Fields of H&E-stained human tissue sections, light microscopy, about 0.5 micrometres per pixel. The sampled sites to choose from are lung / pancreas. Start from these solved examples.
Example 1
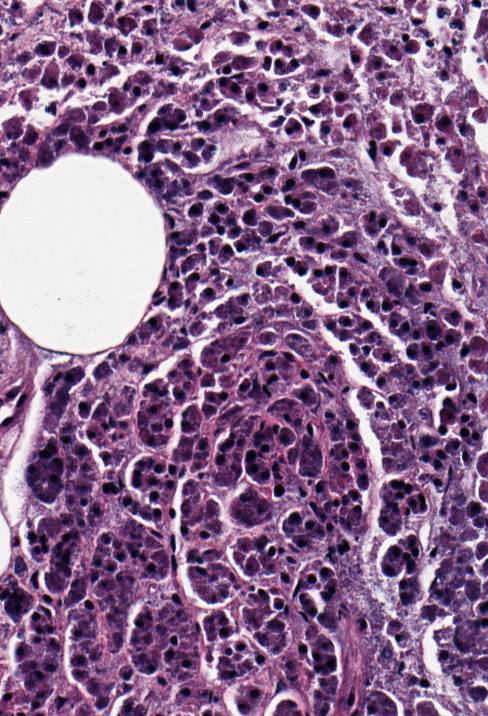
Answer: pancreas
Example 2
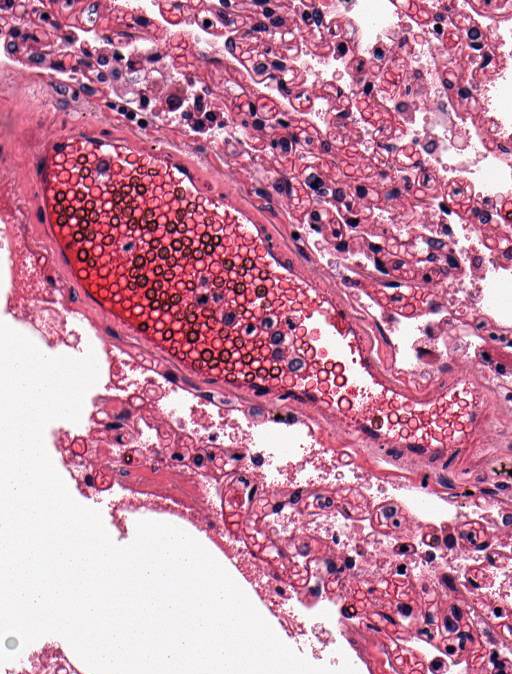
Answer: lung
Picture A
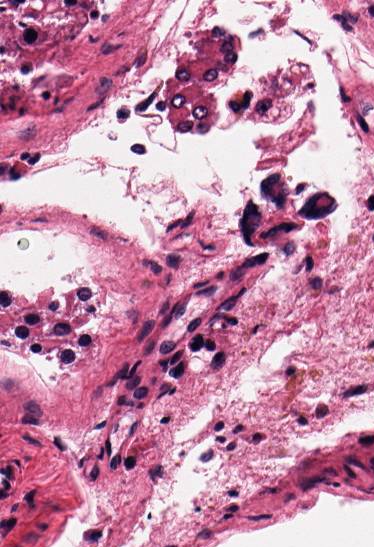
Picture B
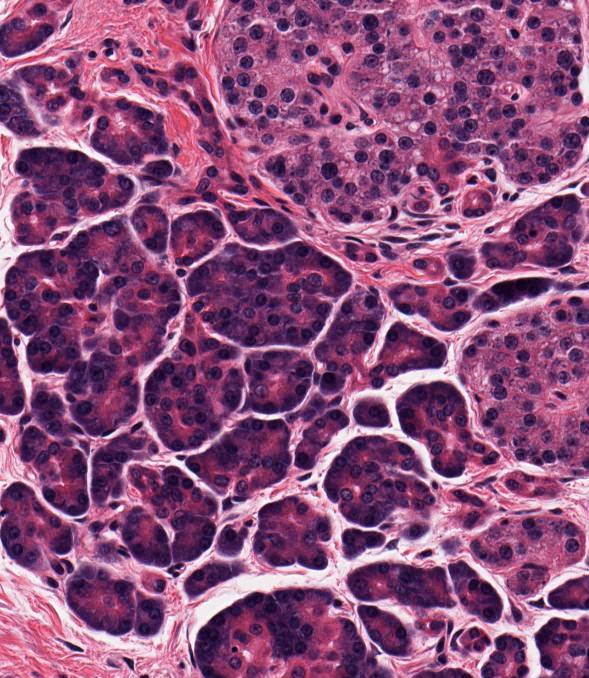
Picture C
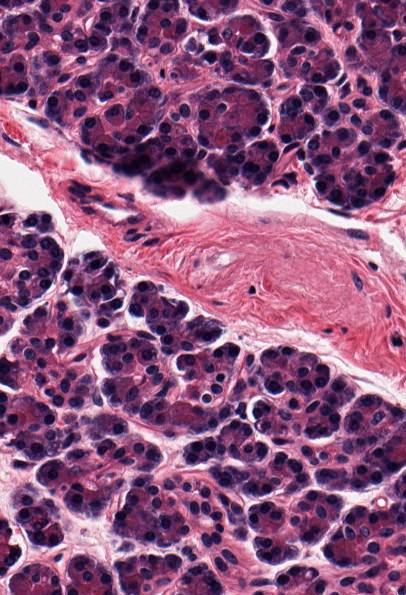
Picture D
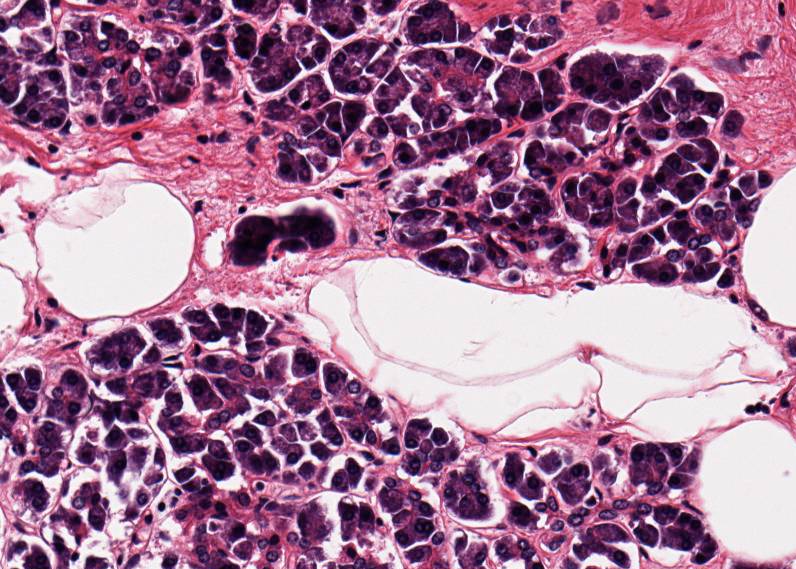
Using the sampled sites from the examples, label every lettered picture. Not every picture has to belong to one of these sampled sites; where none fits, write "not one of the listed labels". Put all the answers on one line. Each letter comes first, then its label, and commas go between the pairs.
A not one of the listed labels, B pancreas, C pancreas, D pancreas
